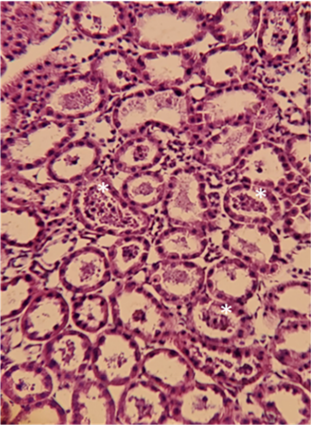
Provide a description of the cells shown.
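Renal tubules are seen in cross-section, closely packed, each with a ring of epithelial cells around a central lumen. The epithelial cells have pink cytoplasm and small dark purple nuclei. Thin strands of interstitial tissue with scattered nuclei lie between the tubules.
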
